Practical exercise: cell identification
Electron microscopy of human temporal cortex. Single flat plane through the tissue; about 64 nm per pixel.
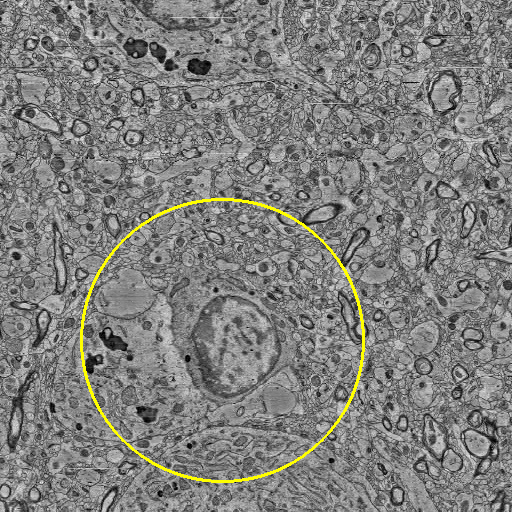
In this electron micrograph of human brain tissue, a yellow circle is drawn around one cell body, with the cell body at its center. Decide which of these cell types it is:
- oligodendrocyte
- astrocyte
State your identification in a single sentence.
The ringed cell is an oligodendrocyte.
